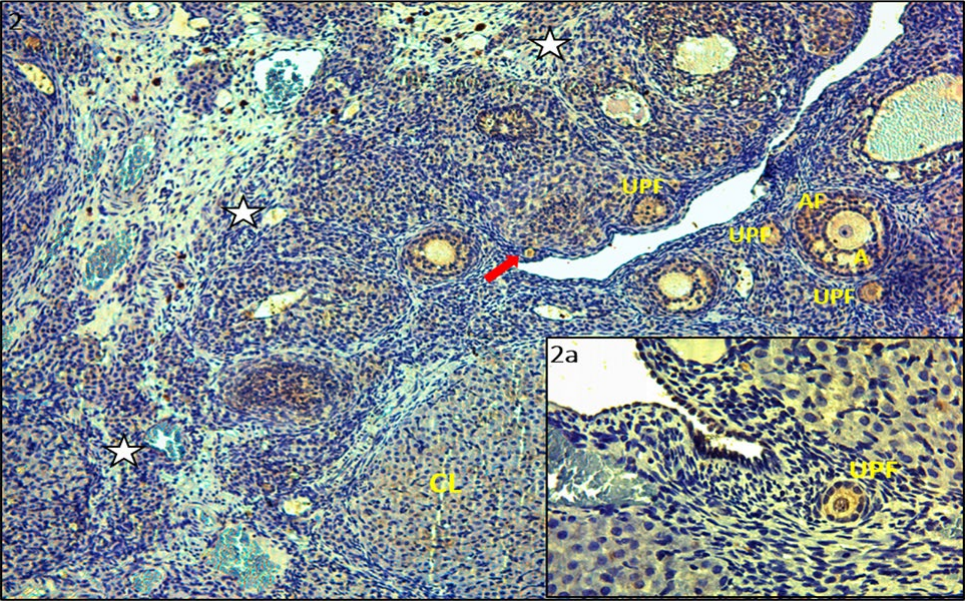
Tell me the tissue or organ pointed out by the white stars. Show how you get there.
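The stars lie in loose tissue between the follicles. This tissue has scattered spindle-shaped cells with blue nuclei and pale fibrous matrix.
Answer: stroma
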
